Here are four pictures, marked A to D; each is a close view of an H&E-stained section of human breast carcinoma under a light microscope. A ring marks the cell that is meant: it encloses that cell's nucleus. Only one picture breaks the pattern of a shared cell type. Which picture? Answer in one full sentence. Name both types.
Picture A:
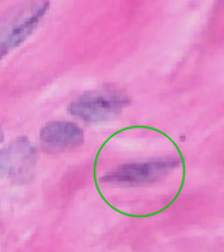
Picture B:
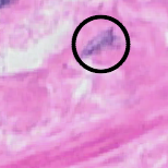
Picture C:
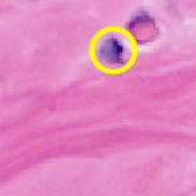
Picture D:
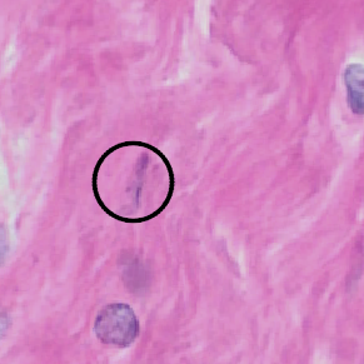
The others show fibroblasts, but picture C shows an endothelial cell.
